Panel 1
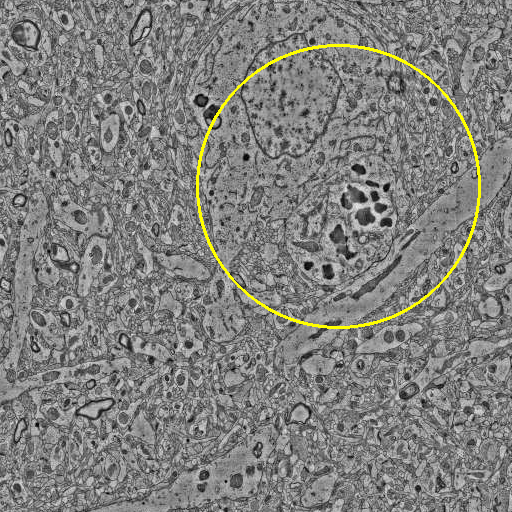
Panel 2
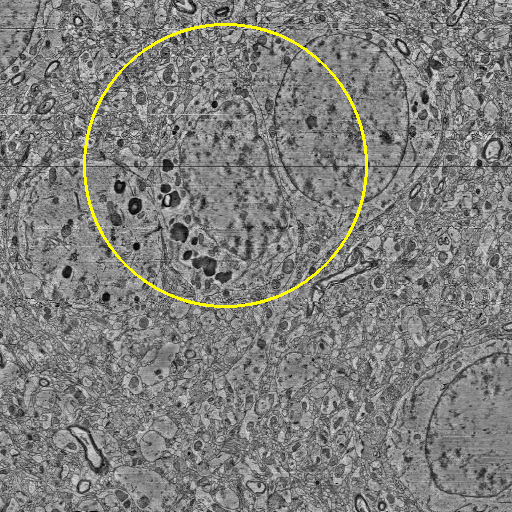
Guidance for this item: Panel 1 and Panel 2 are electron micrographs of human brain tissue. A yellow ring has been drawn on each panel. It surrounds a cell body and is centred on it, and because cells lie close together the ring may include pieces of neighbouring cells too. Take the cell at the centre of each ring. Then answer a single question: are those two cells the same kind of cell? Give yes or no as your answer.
yes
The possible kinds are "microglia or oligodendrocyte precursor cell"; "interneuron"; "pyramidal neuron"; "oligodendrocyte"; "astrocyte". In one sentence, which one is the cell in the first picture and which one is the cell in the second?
In both pictures the ring is centred on an interneuron.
